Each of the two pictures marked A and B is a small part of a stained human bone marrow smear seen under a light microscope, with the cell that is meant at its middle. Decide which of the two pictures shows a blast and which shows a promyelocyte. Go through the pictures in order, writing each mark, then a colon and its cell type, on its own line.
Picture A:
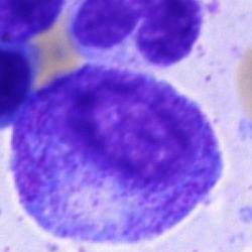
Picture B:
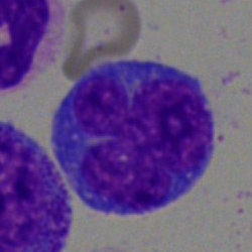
A: promyelocyte
B: blast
